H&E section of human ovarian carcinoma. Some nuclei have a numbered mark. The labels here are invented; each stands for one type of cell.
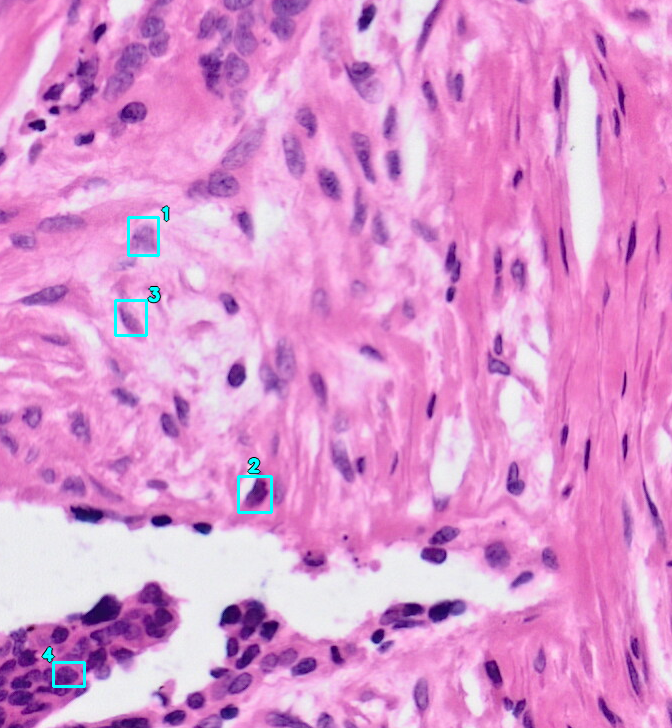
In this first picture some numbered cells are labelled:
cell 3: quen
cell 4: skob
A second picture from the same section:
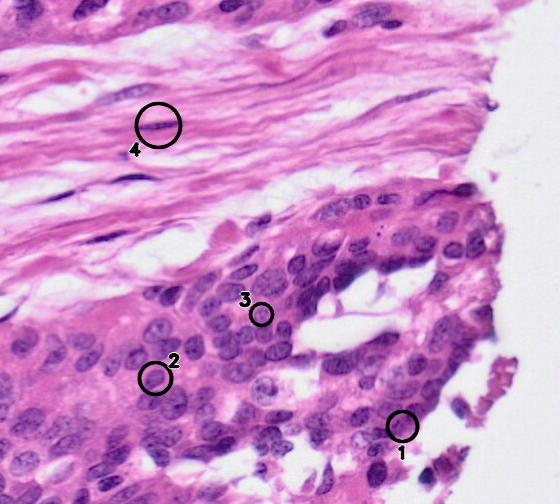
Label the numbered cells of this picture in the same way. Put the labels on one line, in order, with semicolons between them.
skob; skob; skob; quen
